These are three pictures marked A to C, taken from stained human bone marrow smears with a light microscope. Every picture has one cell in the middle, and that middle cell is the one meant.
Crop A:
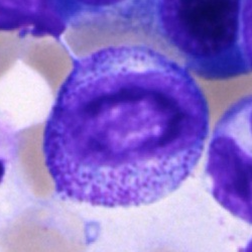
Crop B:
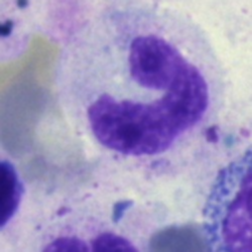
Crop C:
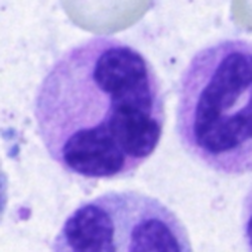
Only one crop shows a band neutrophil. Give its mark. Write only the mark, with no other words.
B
